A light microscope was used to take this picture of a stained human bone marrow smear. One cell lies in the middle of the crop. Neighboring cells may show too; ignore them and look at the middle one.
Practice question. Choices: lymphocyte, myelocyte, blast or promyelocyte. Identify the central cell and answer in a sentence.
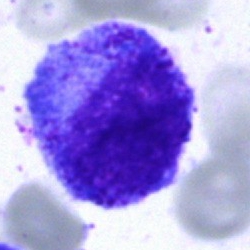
Here the cell in the middle is a promyelocyte.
